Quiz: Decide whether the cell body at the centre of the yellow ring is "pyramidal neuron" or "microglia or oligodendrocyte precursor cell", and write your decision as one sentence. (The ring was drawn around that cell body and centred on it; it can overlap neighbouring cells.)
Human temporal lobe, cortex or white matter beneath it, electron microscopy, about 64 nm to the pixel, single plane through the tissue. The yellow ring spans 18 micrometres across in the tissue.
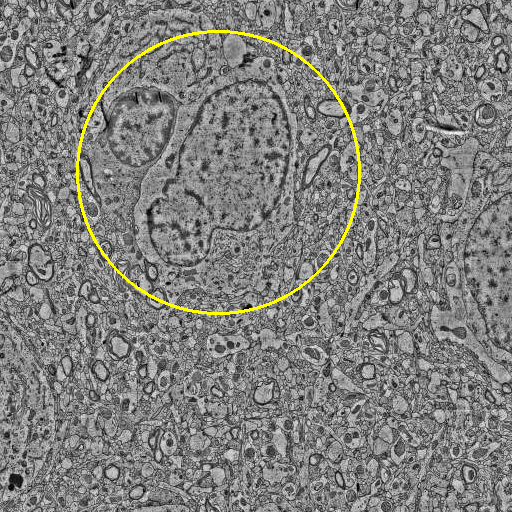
The cell the ring is centred on is a microglial cell or oligodendrocyte precursor cell.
